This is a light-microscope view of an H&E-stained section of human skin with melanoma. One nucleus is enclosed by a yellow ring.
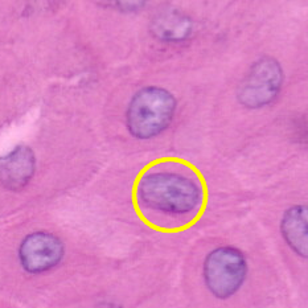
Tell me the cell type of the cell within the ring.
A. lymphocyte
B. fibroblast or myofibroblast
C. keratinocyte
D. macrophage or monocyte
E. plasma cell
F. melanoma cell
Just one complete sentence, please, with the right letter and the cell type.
The correct option here, C, identifies the cell within the ring as a keratinocyte.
